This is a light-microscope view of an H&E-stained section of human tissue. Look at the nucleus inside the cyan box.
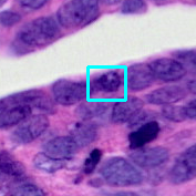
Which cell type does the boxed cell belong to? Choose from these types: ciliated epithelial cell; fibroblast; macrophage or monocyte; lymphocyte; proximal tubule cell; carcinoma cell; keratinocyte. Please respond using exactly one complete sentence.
By its classification, the boxed cell is a carcinoma cell.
